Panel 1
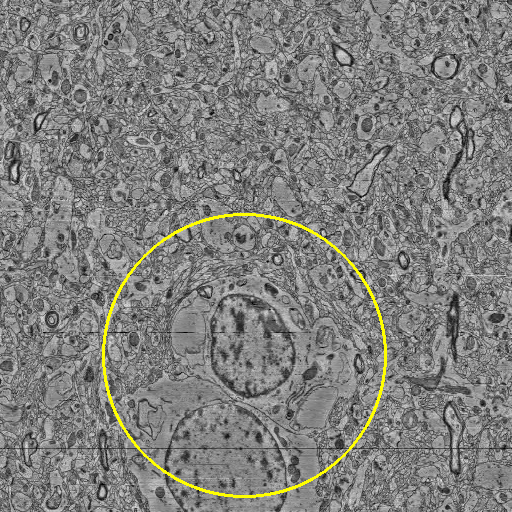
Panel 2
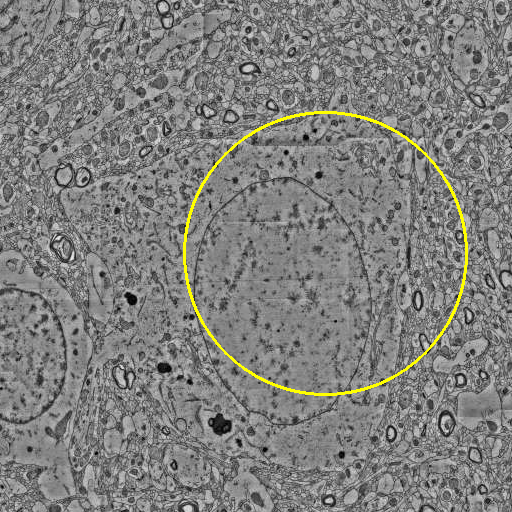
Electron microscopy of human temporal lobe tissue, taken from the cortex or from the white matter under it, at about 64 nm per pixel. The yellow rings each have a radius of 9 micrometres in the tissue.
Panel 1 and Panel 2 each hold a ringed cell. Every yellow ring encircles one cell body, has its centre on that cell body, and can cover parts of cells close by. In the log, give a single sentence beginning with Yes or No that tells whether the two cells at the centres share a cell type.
No, in Panel 1 and Panel 2 the centred cells are of two cell types.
